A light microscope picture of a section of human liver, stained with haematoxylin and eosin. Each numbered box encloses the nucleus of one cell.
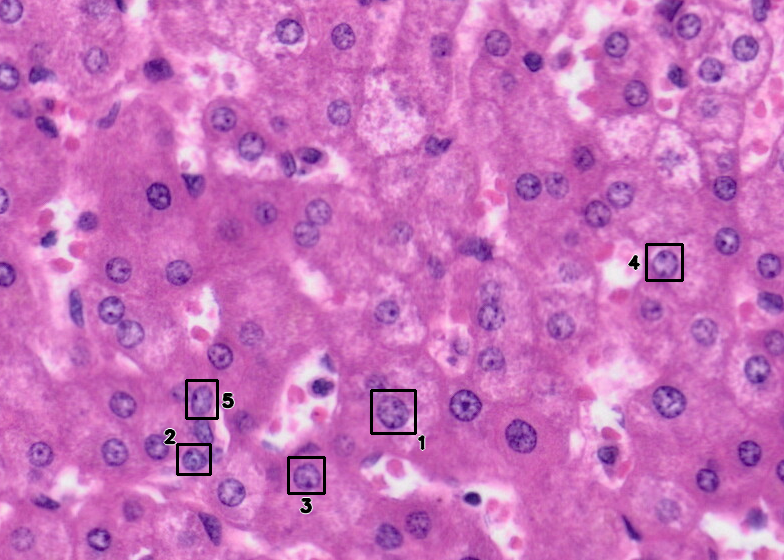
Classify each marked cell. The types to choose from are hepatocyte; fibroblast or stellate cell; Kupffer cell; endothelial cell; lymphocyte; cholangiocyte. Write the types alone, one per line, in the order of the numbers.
hepatocyte
cholangiocyte
hepatocyte
hepatocyte
cholangiocyte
